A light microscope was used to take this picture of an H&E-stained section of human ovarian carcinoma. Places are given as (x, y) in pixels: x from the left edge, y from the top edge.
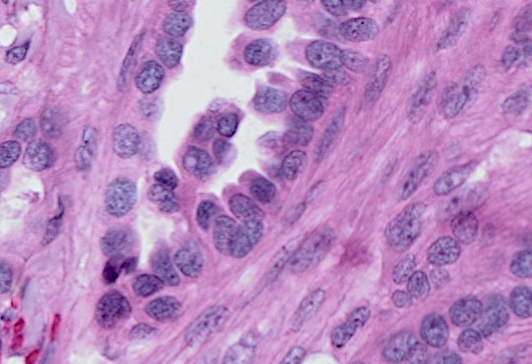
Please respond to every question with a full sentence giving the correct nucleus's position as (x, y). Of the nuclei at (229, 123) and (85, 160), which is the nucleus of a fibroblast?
The nucleus at position (85, 160) belongs to a fibroblast.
